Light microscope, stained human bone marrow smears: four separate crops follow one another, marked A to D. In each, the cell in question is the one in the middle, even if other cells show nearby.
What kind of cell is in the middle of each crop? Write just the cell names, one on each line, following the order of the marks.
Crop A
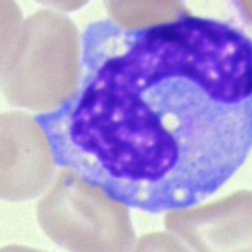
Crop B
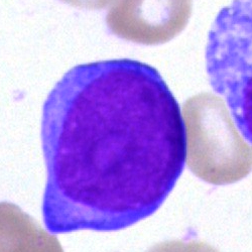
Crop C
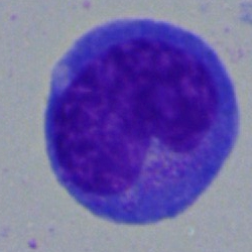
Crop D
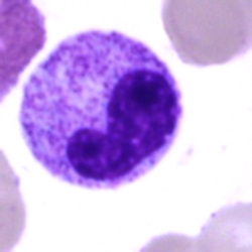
monocyte
blast
blast
band neutrophil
